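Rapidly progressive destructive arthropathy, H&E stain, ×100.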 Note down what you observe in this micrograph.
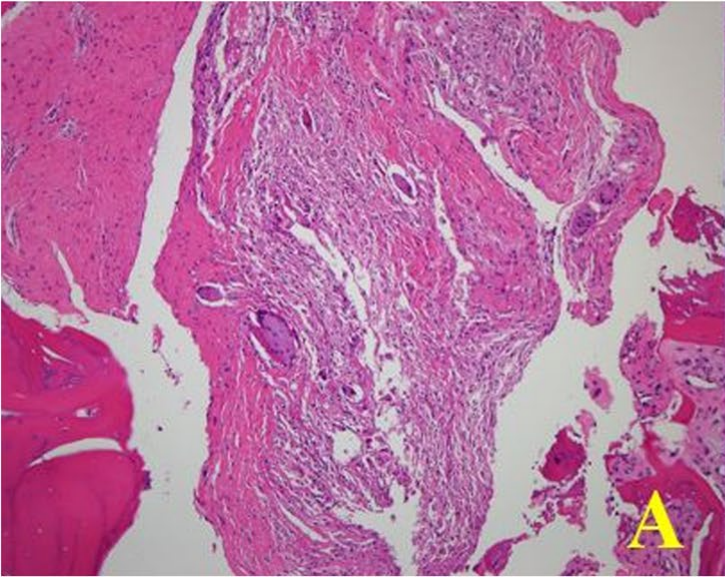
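This is inflamed, scarred soft tissue with scattered multinucleated giant cells of foreign body type. The bulk of the field is wavy pink collagen with spindle-shaped nuclei, marking fibrosis. Within it, several large cells each carry a cluster of many nuclei, lying in small rounded spaces. Dense bright pink fragments at the left and lower right edges look like pieces of bone.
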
